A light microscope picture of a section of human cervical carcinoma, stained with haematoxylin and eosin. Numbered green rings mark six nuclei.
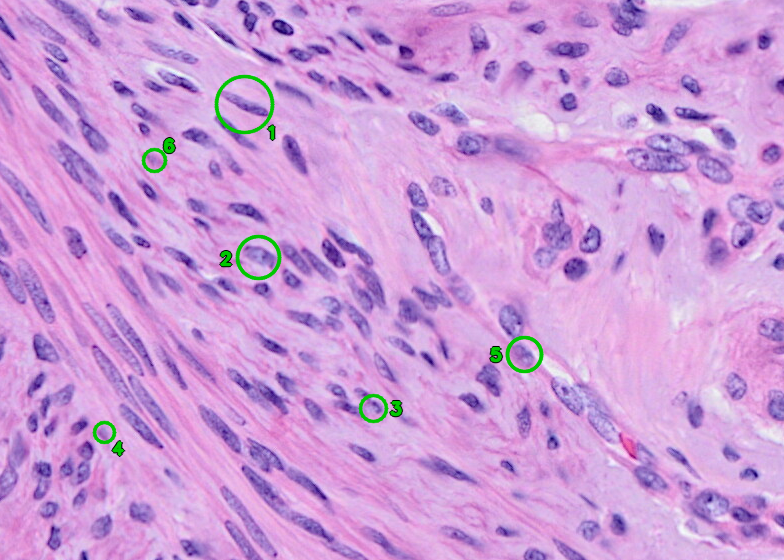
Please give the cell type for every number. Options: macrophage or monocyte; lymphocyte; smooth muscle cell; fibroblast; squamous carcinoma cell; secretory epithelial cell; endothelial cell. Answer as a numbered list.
1. fibroblast
2. smooth muscle cell
3. smooth muscle cell
4. smooth muscle cell
5. endothelial cell
6. smooth muscle cell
